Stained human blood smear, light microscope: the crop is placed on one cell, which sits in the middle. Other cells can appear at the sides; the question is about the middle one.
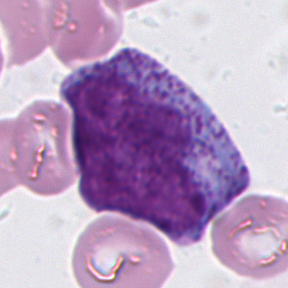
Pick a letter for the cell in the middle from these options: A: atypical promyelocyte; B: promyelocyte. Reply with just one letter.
B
